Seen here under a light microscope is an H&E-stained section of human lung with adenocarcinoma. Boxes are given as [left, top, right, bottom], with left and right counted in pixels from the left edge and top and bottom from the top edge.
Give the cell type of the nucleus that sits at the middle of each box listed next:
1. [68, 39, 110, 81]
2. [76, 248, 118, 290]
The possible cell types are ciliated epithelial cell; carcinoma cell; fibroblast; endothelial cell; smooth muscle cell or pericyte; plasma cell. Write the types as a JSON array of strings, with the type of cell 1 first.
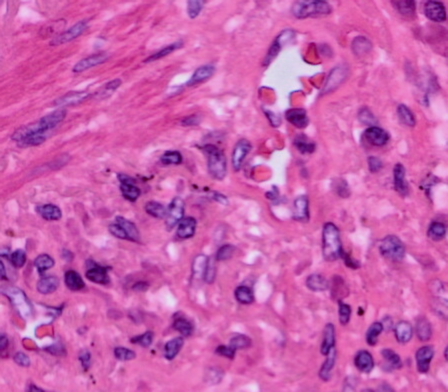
["smooth muscle cell or pericyte", "plasma cell"]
